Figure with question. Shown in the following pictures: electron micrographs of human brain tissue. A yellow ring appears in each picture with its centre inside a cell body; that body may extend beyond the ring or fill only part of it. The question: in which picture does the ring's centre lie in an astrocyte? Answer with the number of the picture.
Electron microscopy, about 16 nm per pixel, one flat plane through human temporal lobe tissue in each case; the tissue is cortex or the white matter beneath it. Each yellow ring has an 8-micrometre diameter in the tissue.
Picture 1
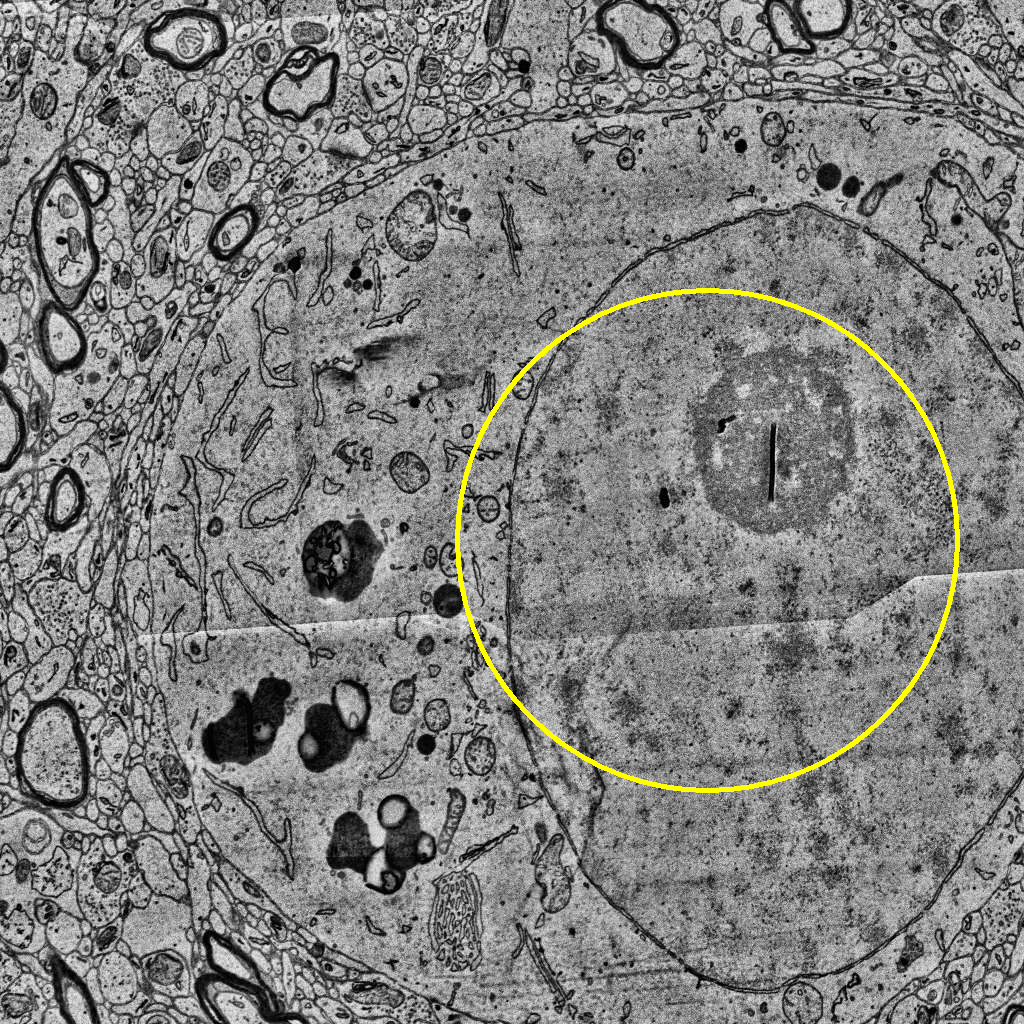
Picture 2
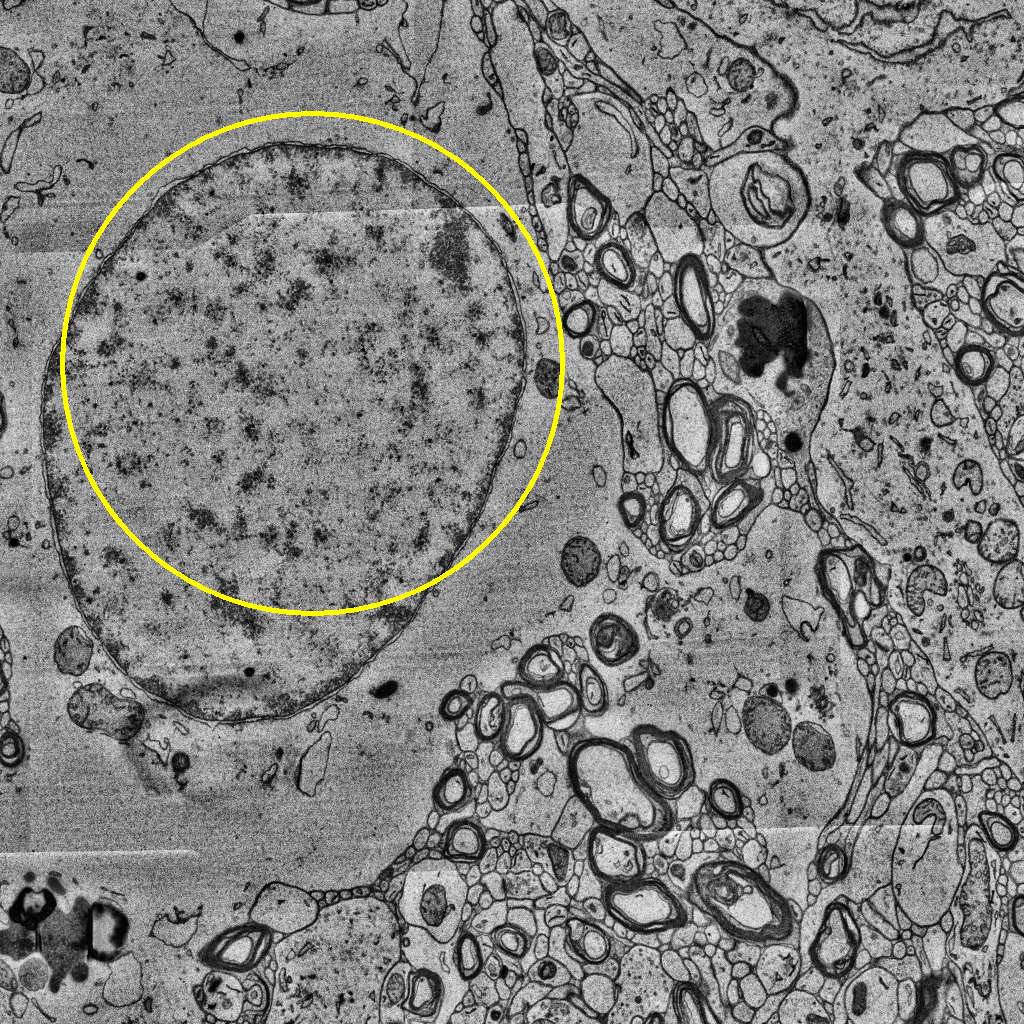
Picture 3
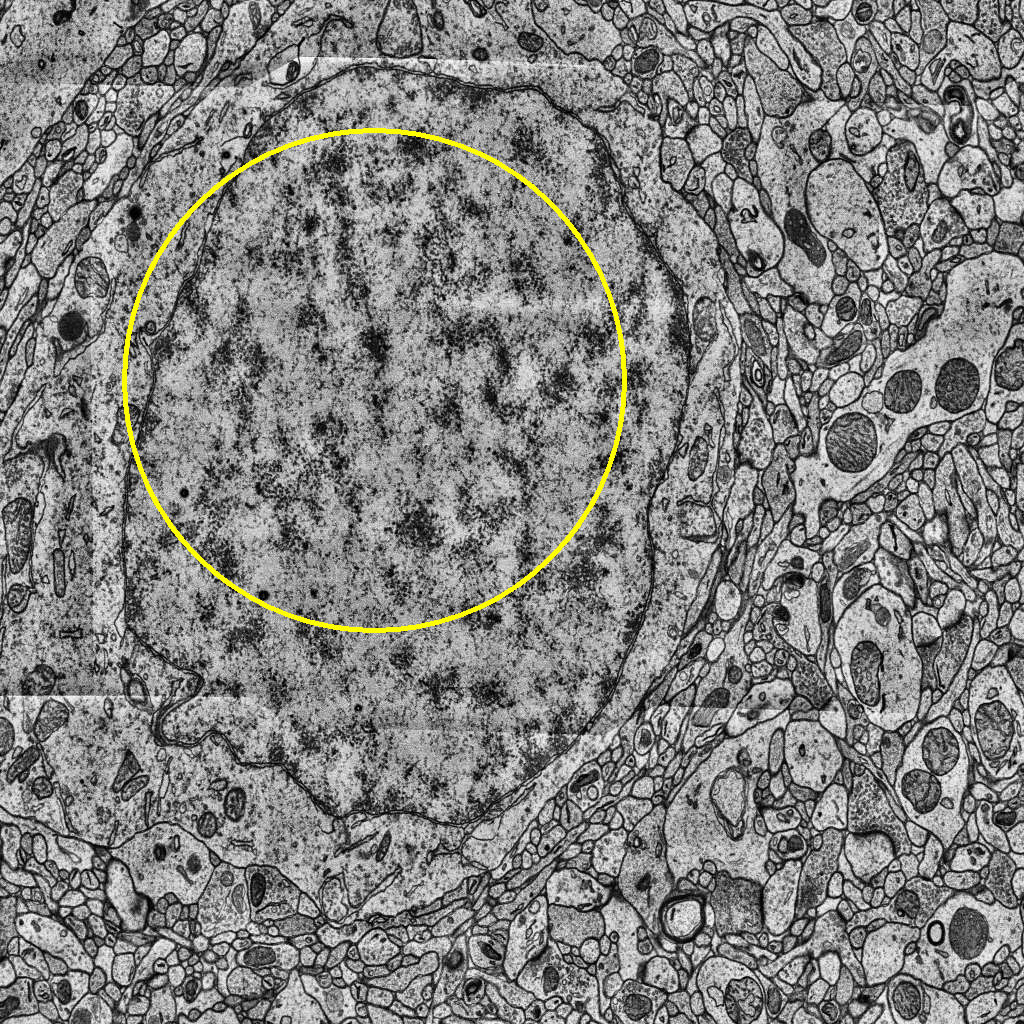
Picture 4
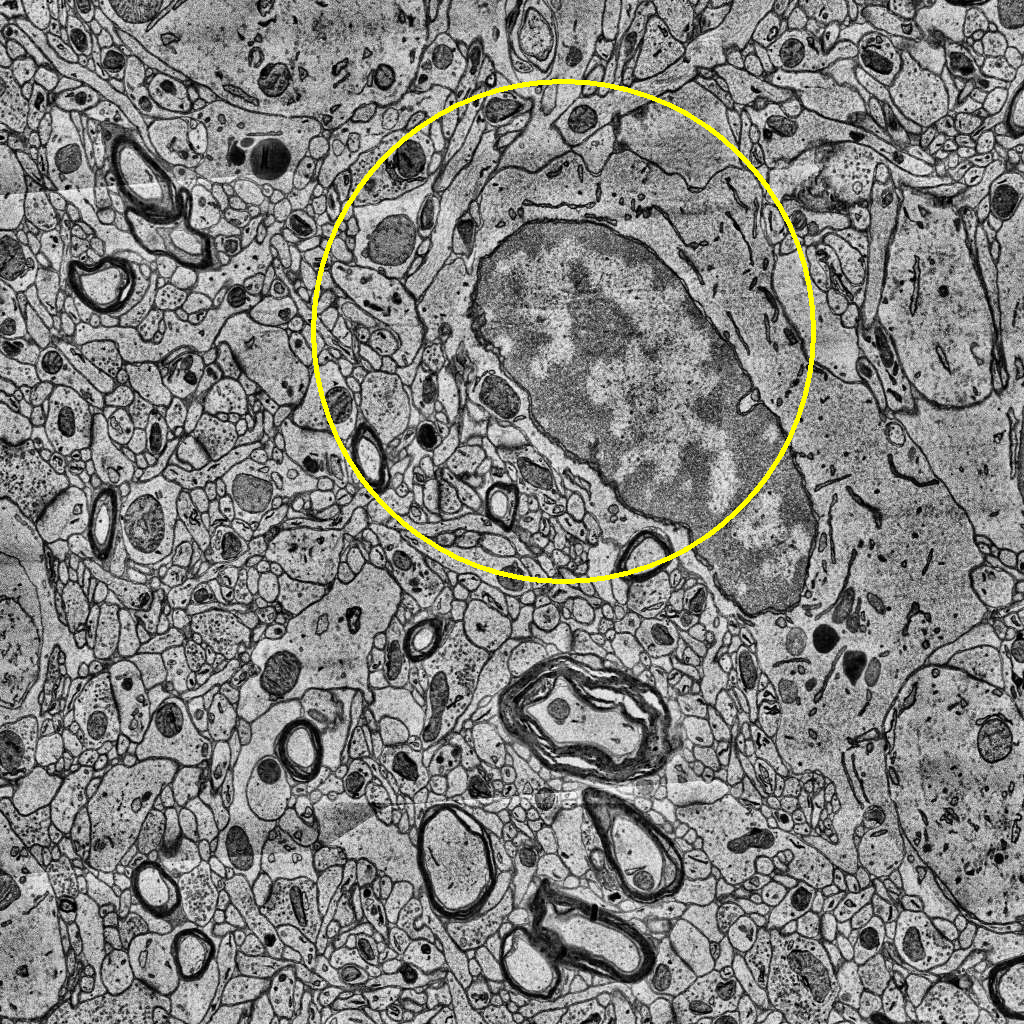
2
